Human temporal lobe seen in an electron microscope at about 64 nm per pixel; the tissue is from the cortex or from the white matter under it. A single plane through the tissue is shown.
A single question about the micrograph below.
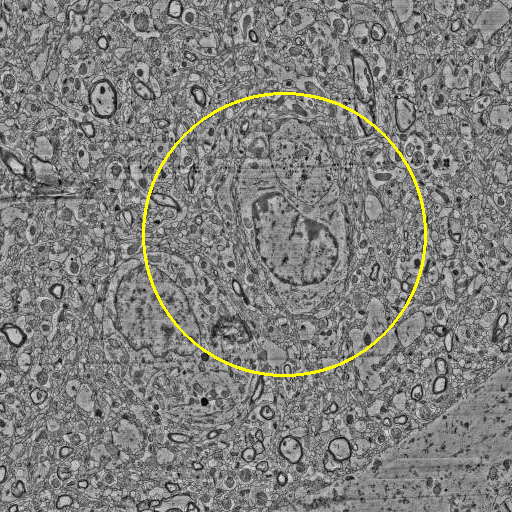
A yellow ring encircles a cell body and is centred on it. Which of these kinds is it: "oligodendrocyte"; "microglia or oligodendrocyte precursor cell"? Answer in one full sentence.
The cell body at the centre of the yellow ring belongs to a microglial cell or oligodendrocyte precursor cell.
